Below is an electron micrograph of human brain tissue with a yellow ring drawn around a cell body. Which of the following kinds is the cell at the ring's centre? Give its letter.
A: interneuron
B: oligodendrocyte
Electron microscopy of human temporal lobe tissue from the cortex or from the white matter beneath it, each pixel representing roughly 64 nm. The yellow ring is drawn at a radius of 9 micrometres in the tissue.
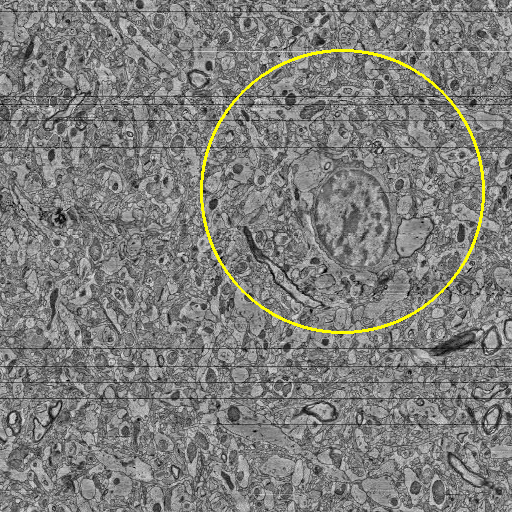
B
